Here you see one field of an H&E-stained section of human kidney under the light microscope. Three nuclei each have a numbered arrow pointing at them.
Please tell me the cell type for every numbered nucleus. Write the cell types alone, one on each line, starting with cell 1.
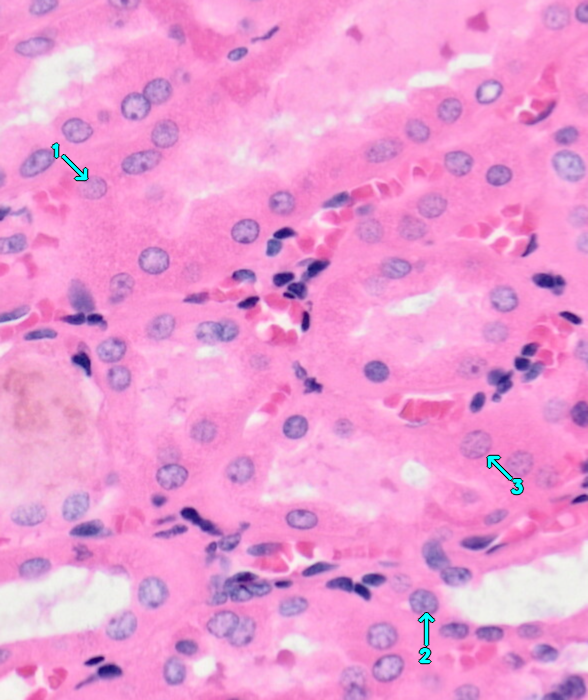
proximal tubule cell
loop of Henle or distal tubule cell
proximal tubule cell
